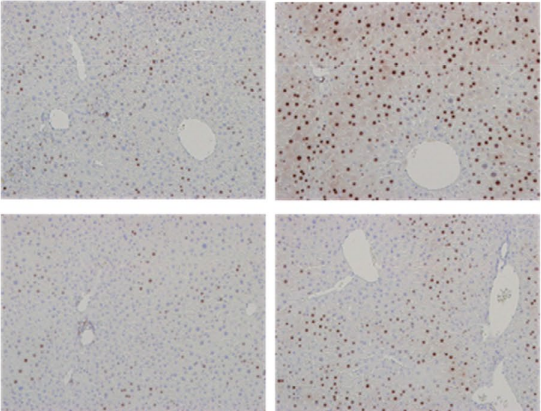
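These four fields show liver parenchyma at low magnification, made of sheets of large polygonal liver cells, each with a round central nucleus. Open round spaces scattered through the fields are blood vessels, and the cell sheets run up to their walls. In two of the fields the brown nuclei are far more numerous and densely packed than in the other two, where they are sparser.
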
